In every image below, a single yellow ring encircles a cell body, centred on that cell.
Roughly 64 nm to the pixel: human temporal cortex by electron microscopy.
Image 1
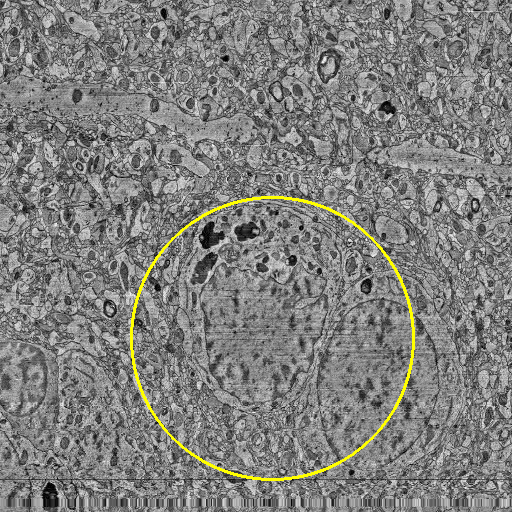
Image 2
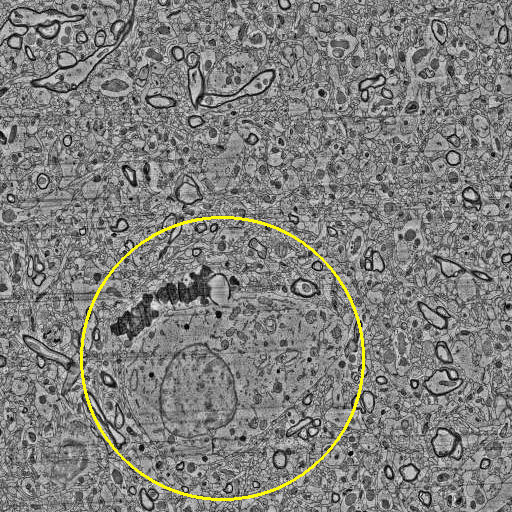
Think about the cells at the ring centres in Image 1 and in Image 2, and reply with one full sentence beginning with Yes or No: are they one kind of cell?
No, the cells centred in the rings of Image 1 and Image 2 are two kinds of cell.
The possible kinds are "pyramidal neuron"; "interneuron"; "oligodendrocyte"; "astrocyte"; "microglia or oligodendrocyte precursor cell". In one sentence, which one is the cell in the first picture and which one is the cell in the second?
The cell ringed in the second picture is a pyramidal neuron, whereas the one ringed in the first is an interneuron.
